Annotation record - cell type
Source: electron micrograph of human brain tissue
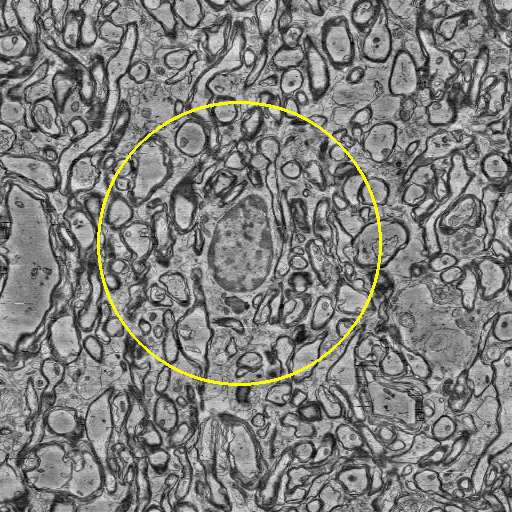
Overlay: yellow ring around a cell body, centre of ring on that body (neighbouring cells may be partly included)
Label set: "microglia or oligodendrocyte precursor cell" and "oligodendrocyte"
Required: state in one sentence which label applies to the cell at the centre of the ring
This cell should be labelled as a microglial cell or oligodendrocyte precursor cell.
